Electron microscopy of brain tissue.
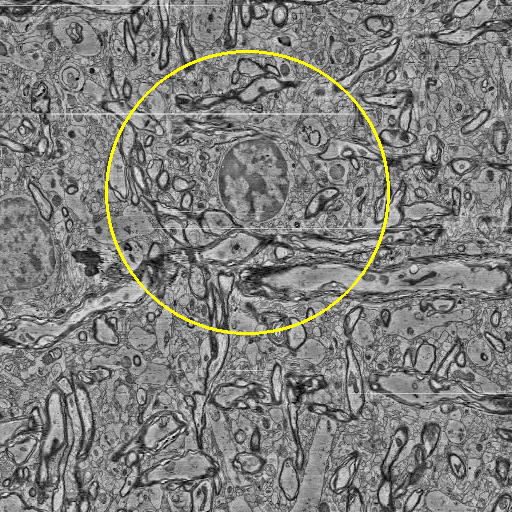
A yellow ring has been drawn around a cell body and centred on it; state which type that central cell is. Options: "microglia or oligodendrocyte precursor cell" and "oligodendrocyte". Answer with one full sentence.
The cell at the middle of the yellow ring is a microglial cell or oligodendrocyte precursor cell in this picture.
